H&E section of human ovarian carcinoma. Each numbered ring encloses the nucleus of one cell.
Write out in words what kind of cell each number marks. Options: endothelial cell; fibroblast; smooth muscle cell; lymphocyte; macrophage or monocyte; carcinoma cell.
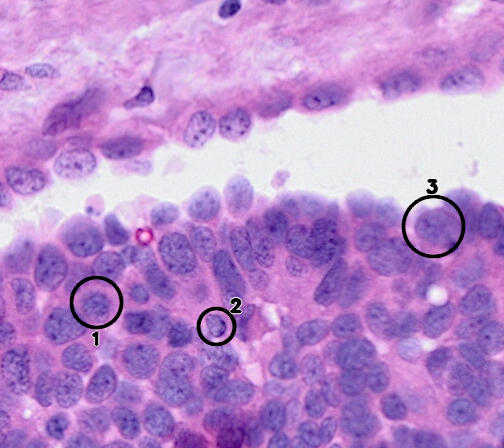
Cell 1 is a carcinoma cell, cell 2 is a macrophage or monocyte and cell 3 is a carcinoma cell.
